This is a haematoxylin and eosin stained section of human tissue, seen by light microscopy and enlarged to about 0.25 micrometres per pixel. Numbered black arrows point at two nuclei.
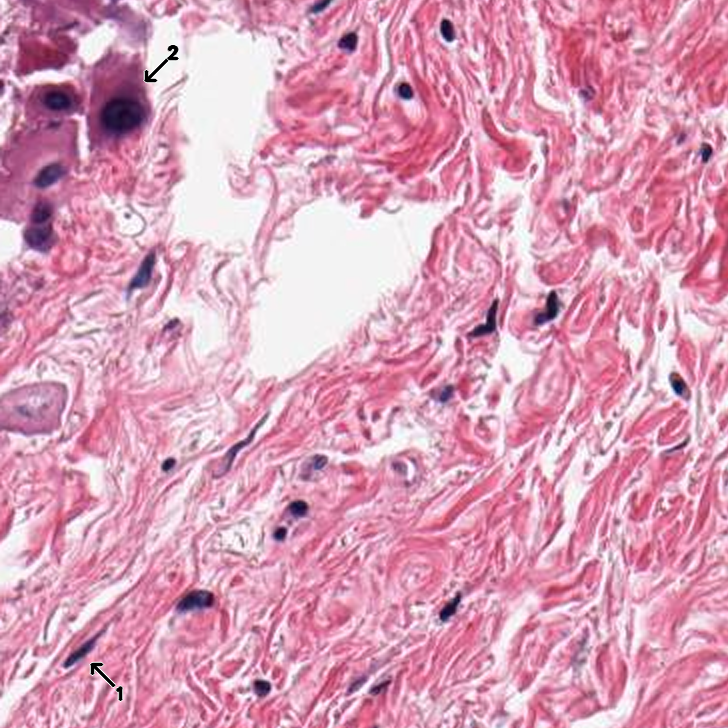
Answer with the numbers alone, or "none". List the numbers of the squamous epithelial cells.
2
